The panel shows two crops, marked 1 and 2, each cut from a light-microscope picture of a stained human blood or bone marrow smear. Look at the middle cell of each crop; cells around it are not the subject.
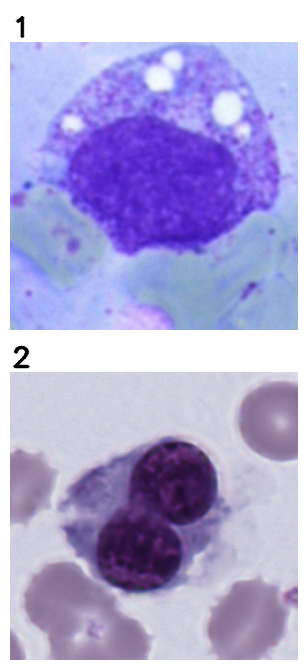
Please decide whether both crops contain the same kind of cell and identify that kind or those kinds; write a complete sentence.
No, crop 1 captures a myelocyte; meanwhile crop 2 captures a plasma cell.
